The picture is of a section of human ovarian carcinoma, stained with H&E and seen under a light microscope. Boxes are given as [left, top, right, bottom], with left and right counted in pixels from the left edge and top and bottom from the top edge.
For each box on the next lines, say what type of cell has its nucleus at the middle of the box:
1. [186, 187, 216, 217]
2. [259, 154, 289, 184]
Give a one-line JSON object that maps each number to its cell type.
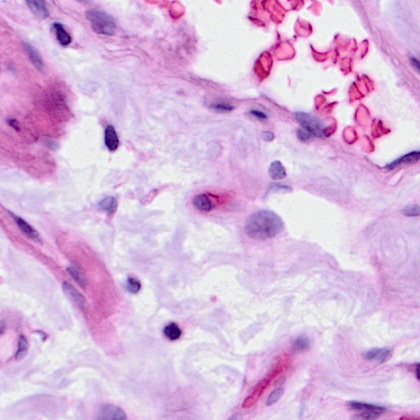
{"1": "endothelial cell", "2": "lymphocyte"}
